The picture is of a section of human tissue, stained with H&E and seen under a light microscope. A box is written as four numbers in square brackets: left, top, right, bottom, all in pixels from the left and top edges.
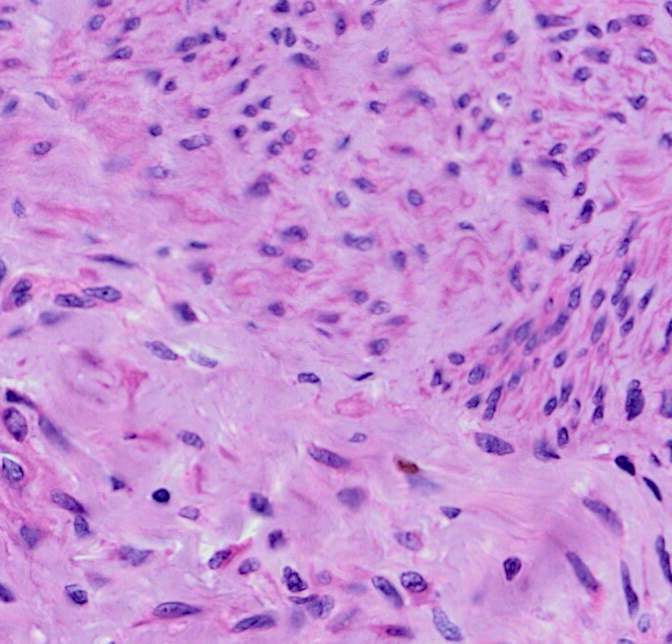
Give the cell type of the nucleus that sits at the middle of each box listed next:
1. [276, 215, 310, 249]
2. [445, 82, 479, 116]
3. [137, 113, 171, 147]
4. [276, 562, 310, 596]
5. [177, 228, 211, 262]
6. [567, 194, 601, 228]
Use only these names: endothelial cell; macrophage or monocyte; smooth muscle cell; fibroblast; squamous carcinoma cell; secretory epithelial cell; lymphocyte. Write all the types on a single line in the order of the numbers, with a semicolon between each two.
smooth muscle cell; smooth muscle cell; smooth muscle cell; lymphocyte; fibroblast; smooth muscle cell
